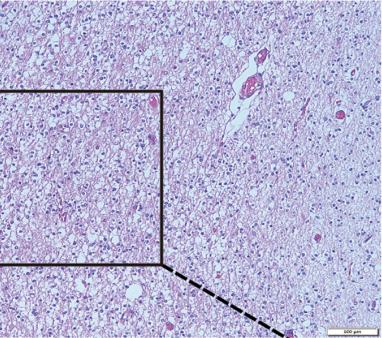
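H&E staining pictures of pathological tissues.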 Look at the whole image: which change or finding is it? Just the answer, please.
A: Oligodendroglioma.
